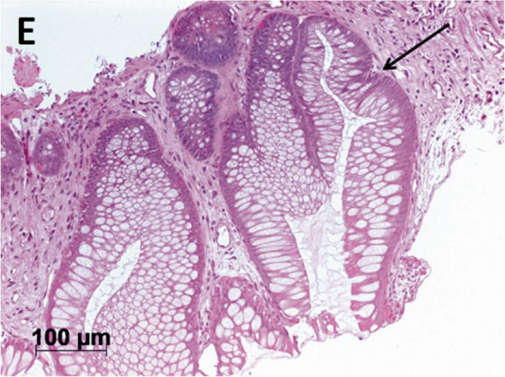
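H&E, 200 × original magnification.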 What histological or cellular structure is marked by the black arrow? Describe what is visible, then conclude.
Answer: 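The marked crypt of goblet-cell-rich epithelium splits into more than one limb. Neighbouring crypts are irregular in shape.
Answer: branched crypt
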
